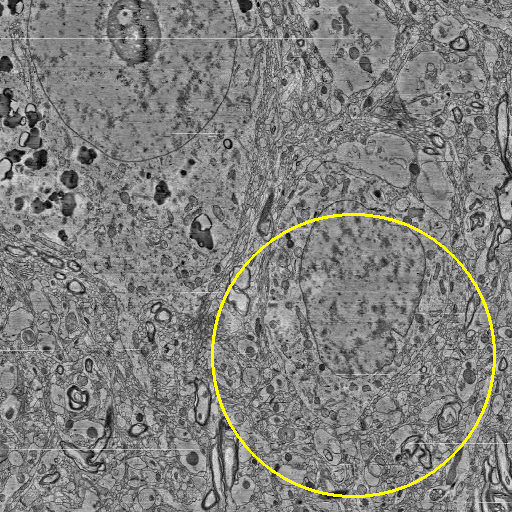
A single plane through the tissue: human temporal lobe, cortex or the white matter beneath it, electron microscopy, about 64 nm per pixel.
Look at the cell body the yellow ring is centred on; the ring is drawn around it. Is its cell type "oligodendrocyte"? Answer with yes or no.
No, its cell type is another.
